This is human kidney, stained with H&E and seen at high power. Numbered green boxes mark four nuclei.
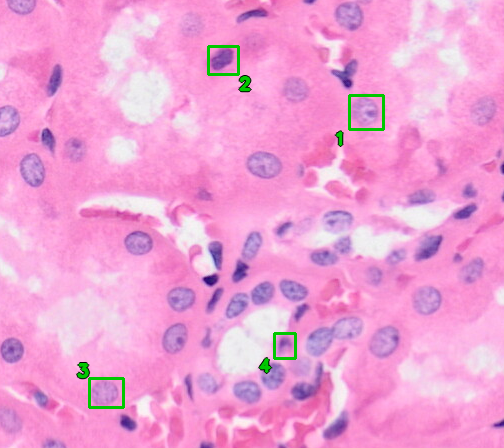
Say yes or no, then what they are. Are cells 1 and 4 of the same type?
No, unlike cell 1, which is a proximal tubule cell, cell 4 is a collecting duct cell.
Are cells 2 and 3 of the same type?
Yes, cells 2 and 3 both count as proximal tubule cells.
